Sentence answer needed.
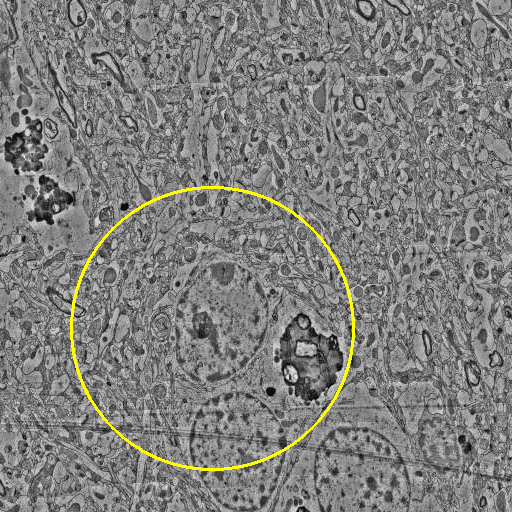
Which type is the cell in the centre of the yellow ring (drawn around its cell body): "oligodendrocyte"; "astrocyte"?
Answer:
In the centre of the yellow ring is an astrocyte.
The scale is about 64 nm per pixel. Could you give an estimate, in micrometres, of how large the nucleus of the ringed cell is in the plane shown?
The nucleus appears roughly 8 by 6 micrometres in this plane.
